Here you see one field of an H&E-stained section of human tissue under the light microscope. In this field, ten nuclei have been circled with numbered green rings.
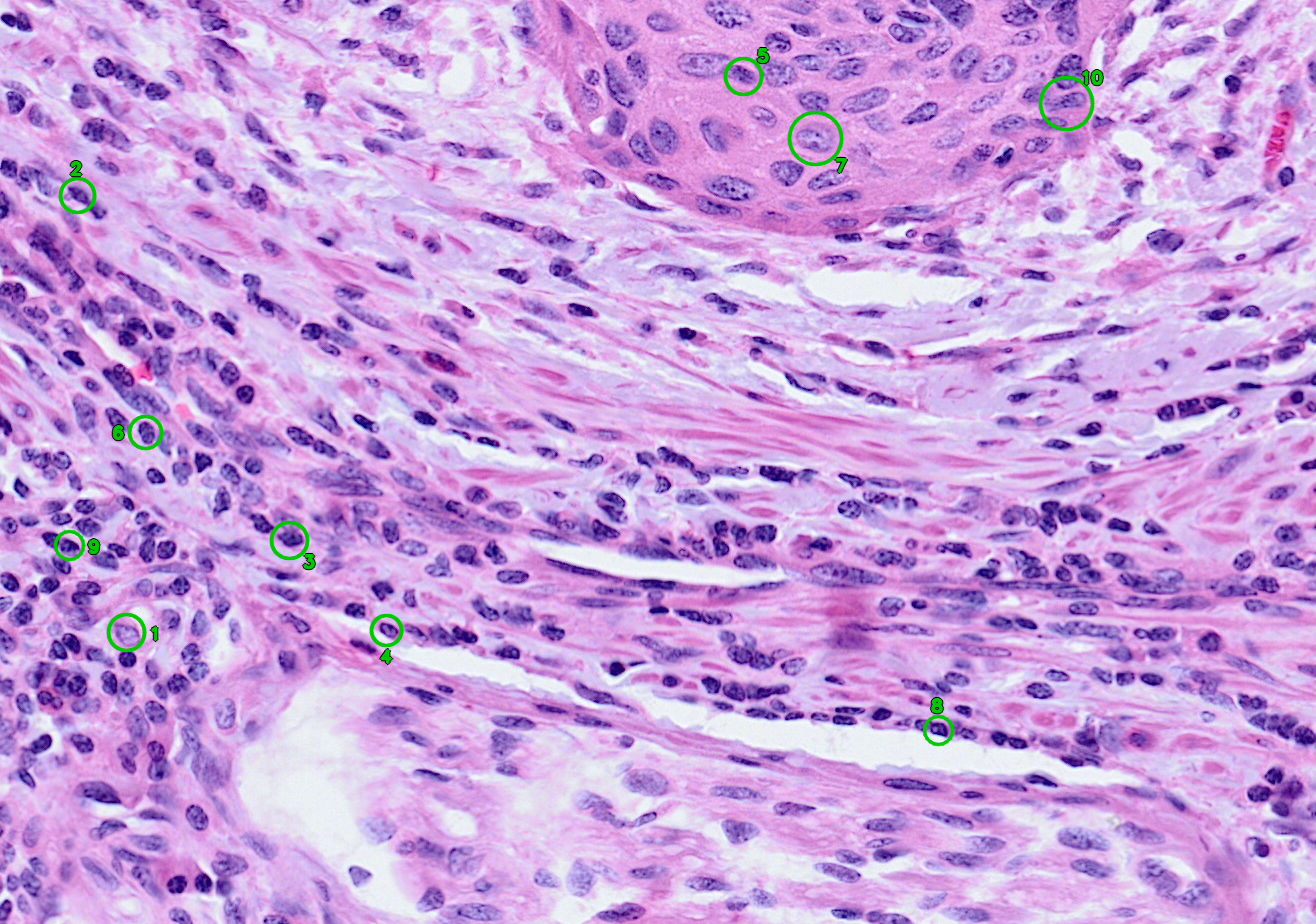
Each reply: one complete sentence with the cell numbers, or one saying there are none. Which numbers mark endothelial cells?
As for the numbered cells, only cell 1 is an endothelial cell.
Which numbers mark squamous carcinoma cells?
In this section, the cells labelled 5, 7 and 10 are squamous carcinoma cells.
